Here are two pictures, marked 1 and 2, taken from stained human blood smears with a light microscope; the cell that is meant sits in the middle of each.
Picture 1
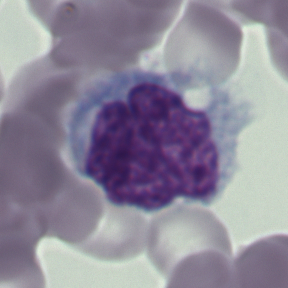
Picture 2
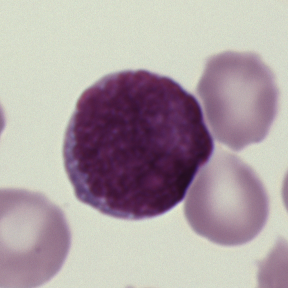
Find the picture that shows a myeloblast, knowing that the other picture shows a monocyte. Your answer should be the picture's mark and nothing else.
2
